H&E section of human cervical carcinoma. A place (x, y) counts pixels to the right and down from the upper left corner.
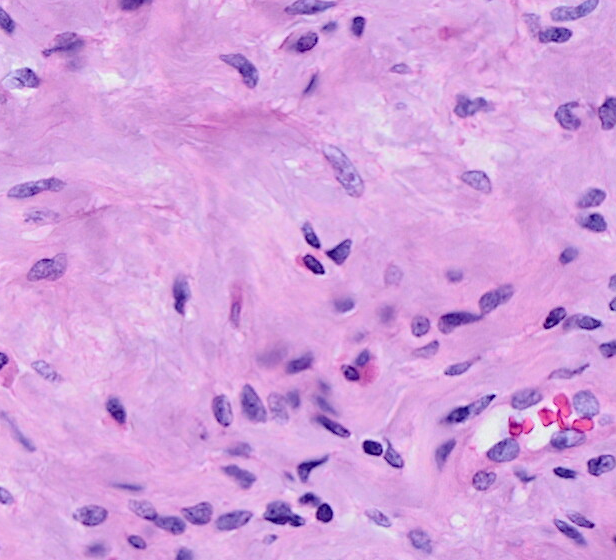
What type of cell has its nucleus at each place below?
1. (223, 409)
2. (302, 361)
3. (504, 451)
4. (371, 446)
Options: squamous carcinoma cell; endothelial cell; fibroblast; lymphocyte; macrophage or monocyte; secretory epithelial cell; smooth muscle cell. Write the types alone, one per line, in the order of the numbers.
fibroblast
fibroblast
endothelial cell
lymphocyte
